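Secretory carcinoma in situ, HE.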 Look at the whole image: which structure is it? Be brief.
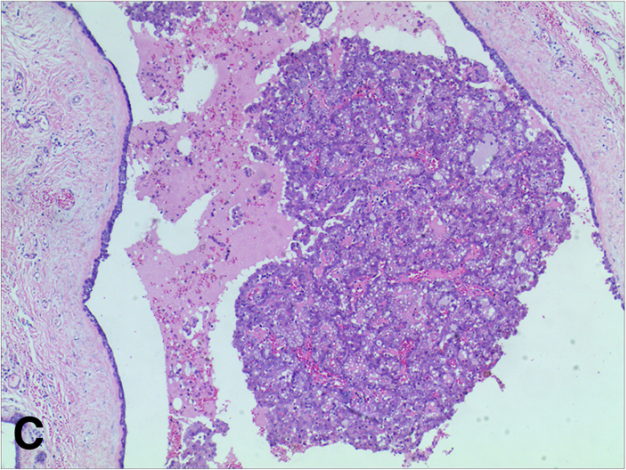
papillary pattern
